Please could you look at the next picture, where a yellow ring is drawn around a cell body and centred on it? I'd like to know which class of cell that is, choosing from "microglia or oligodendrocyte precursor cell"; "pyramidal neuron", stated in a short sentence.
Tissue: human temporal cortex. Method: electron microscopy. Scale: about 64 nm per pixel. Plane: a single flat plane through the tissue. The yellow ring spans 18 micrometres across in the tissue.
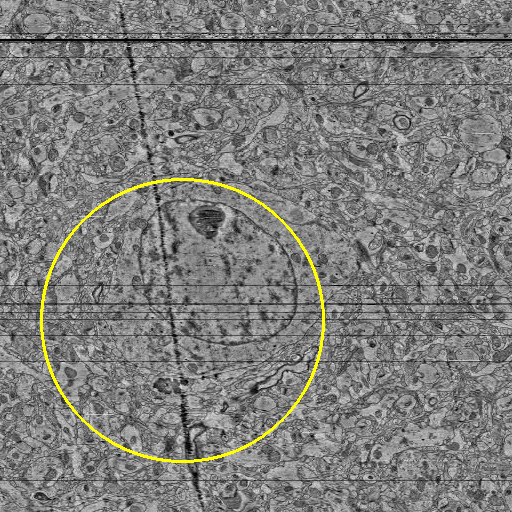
The ring's centre lies on a pyramidal neuron.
